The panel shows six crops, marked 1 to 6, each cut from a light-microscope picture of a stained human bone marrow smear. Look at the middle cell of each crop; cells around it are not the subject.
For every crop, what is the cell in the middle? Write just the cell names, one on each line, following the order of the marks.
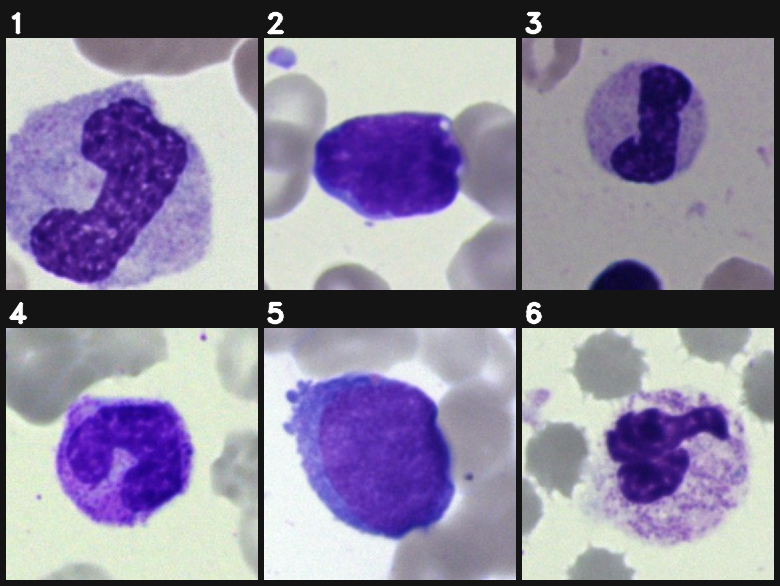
band neutrophil
blast
band neutrophil
band neutrophil
blast
segmented neutrophil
